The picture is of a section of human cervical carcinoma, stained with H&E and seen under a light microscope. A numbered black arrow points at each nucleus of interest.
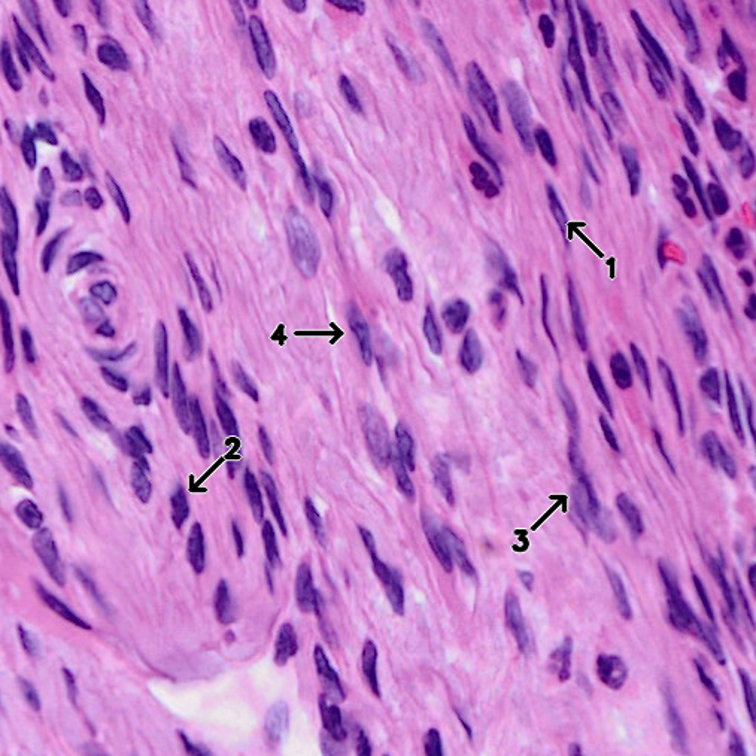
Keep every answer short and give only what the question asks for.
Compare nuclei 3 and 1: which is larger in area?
3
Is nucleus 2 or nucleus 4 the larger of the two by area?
4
